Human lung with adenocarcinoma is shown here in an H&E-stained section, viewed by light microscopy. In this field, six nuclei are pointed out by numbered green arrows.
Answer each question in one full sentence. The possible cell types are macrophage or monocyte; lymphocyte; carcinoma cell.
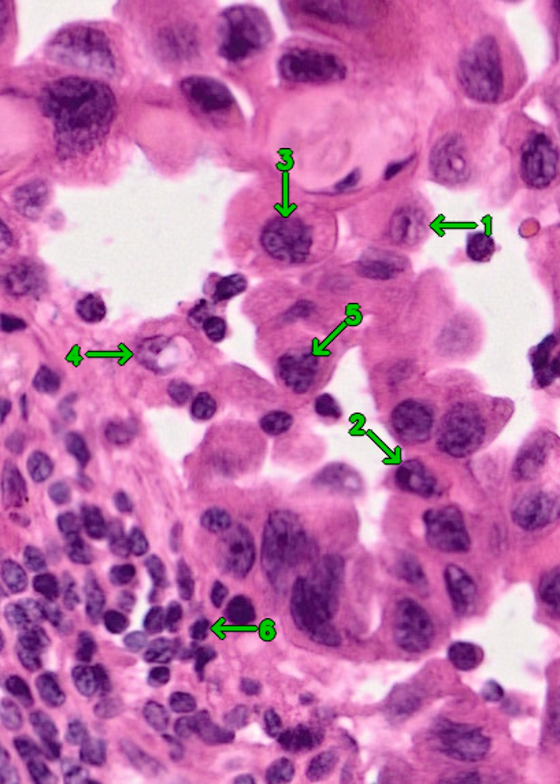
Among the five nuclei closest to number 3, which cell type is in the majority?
Carcinoma cells make up most of the five nuclei closest to number 3.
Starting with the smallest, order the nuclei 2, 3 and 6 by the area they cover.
From smallest to largest, the order is 6, 2, 3.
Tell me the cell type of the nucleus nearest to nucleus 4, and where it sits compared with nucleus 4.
The closest nucleus belongs to a lymphocyte and sits below and to the right of nucleus 4.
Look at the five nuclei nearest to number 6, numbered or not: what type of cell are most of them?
Around number 6, most of the five nearest nuclei are those of lymphocytes.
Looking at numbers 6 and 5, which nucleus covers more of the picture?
Number 5 is larger; its area is about 3 times that of number 6.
